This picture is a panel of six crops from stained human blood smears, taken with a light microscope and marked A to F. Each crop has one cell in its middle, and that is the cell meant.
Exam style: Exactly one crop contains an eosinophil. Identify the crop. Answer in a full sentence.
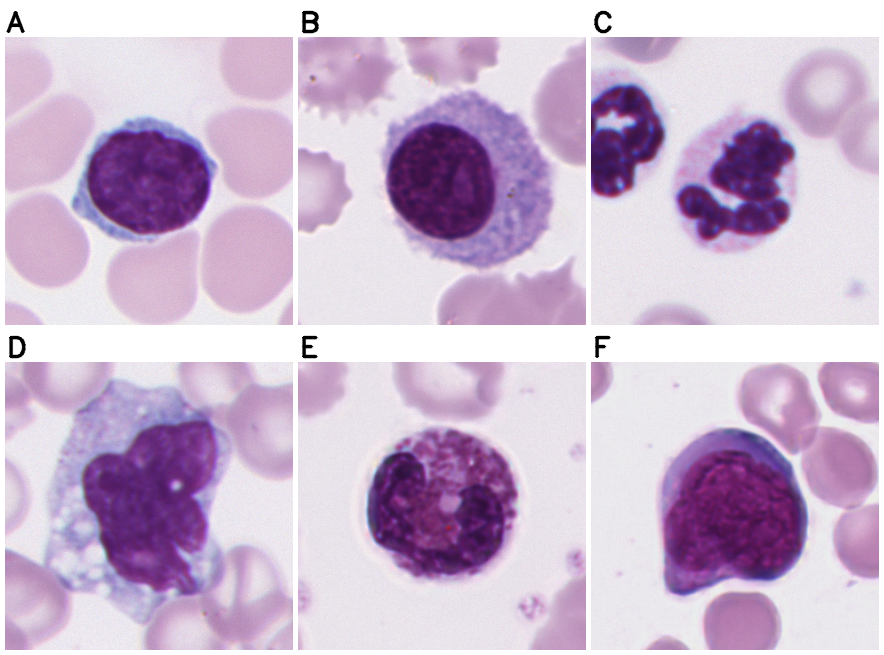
Among the crops given, only crop E shows an eosinophil.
